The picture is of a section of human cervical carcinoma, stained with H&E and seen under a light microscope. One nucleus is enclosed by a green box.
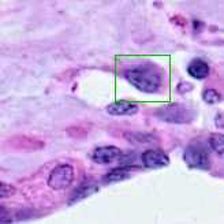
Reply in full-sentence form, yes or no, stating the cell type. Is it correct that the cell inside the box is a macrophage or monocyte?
Yes, the cell inside the box in this field is a macrophage or monocyte.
